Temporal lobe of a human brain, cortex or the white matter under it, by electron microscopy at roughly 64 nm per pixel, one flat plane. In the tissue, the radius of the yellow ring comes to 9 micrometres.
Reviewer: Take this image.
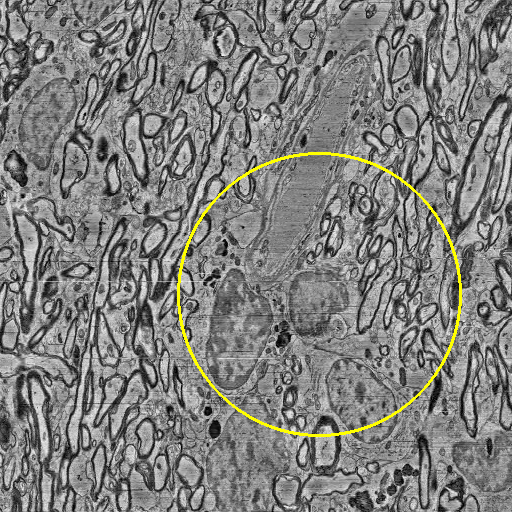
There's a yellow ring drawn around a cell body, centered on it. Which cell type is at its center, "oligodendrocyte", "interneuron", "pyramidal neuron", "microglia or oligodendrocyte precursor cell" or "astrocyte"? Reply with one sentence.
At the center of the yellow ring is an oligodendrocyte.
